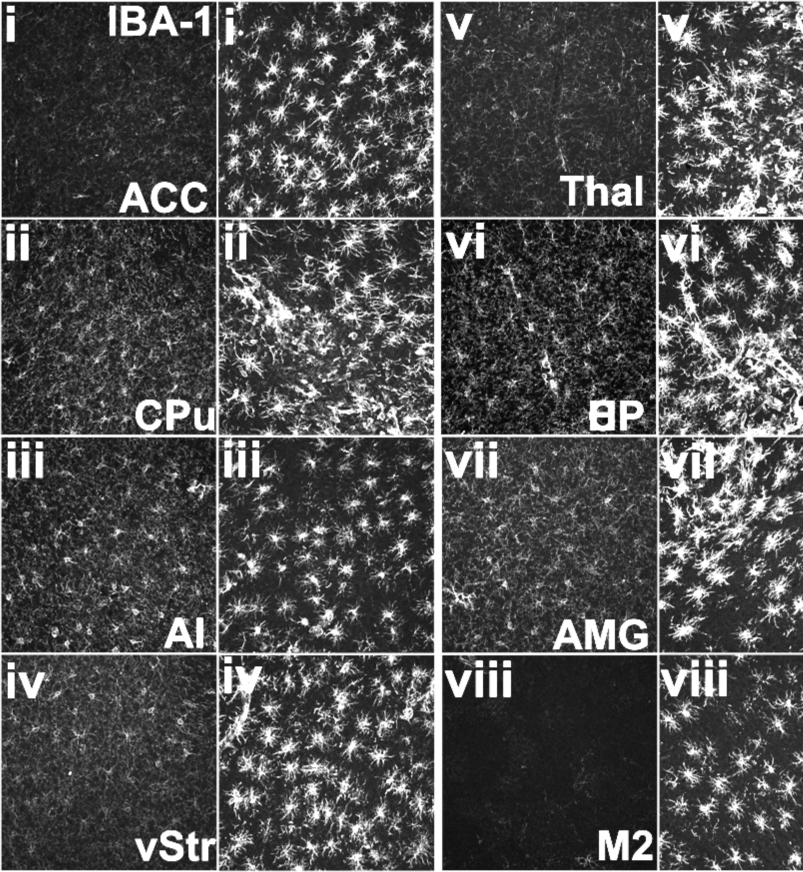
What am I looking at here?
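In the left tile of each pair the cells are faint and hard to make out, whereas in the right tile many microglia stand out brightly. Each bright cell has a small compact body with several fine, branching processes radiating outward.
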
